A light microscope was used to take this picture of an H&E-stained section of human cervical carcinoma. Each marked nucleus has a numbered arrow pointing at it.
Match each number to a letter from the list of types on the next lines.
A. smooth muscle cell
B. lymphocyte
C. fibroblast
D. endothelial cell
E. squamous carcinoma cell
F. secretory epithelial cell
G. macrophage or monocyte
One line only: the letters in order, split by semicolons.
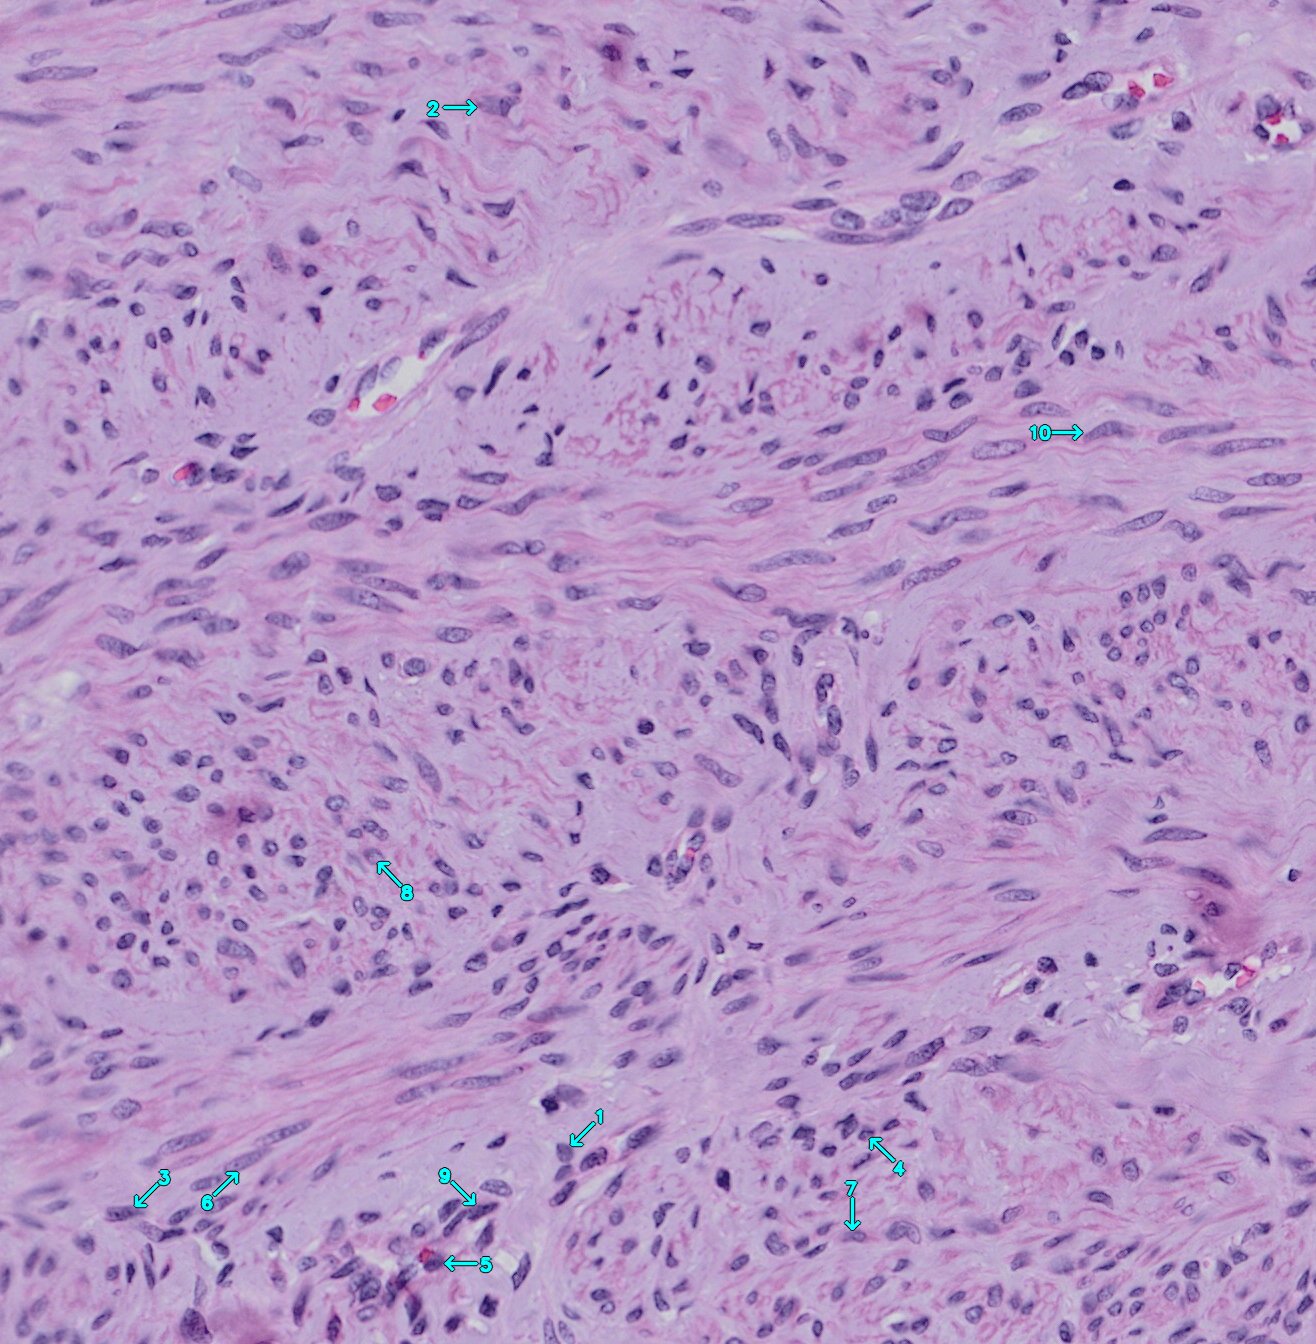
C; A; C; A; D; A; A; A; D; A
